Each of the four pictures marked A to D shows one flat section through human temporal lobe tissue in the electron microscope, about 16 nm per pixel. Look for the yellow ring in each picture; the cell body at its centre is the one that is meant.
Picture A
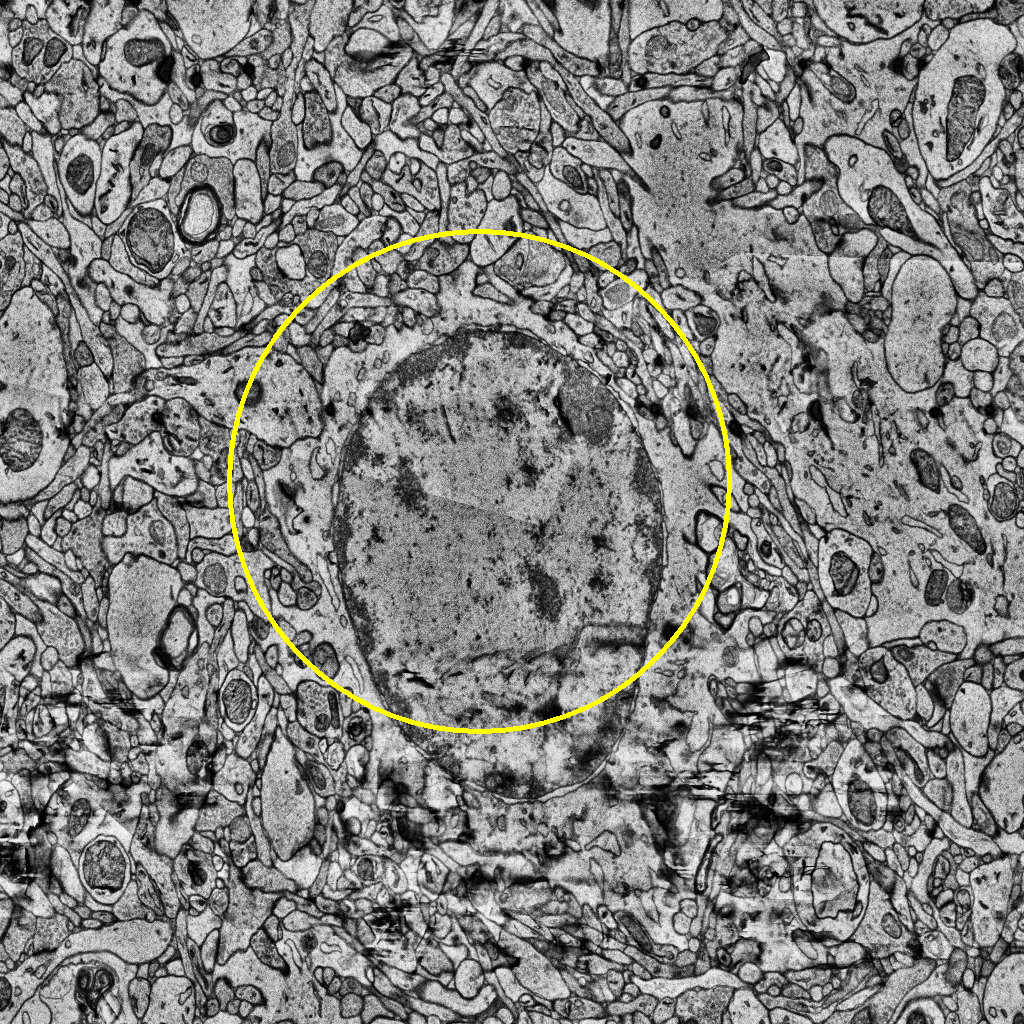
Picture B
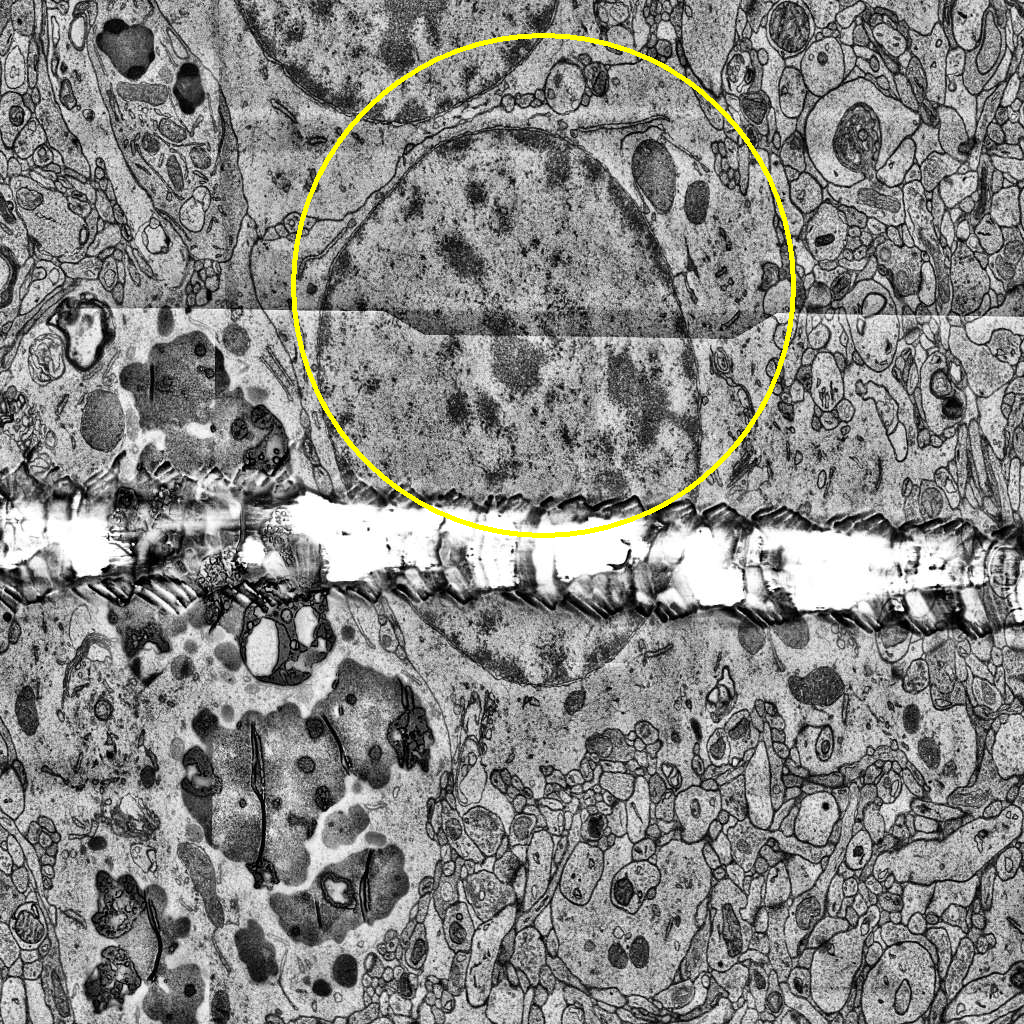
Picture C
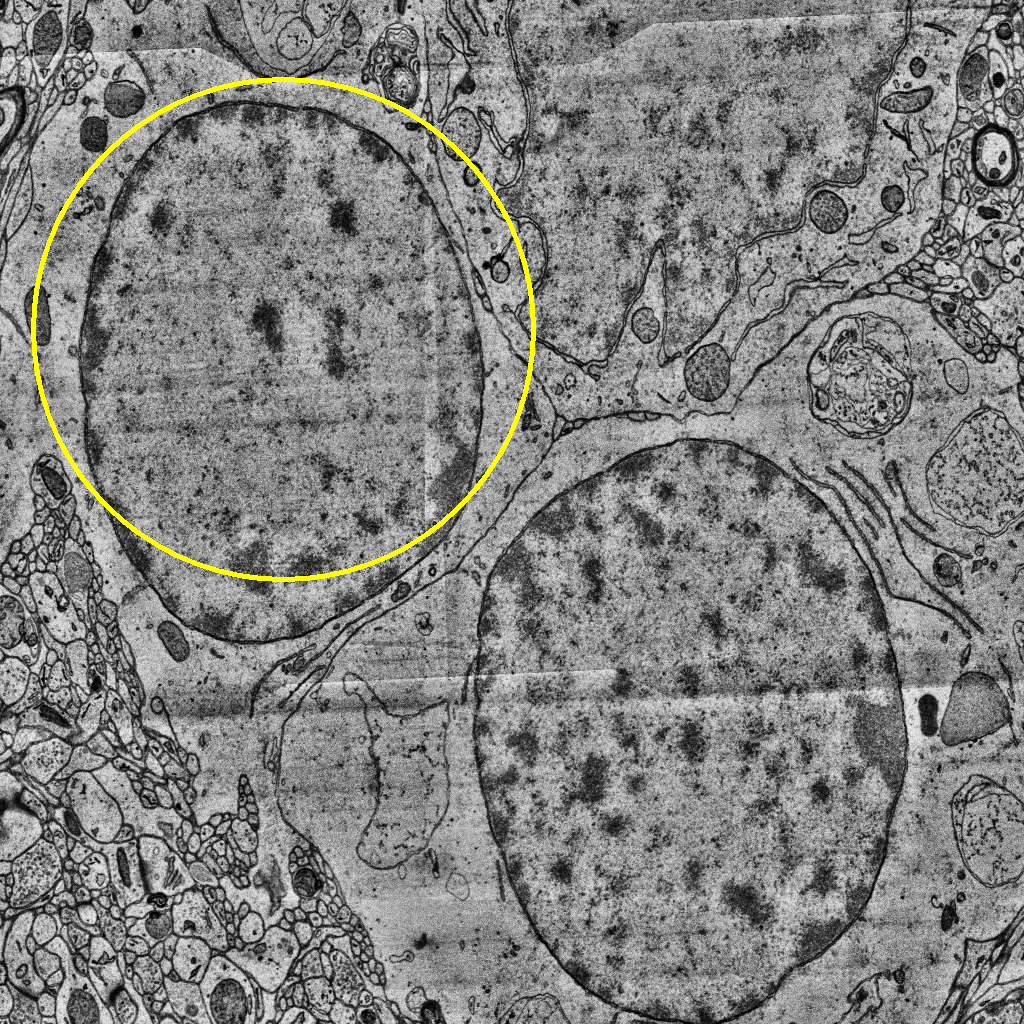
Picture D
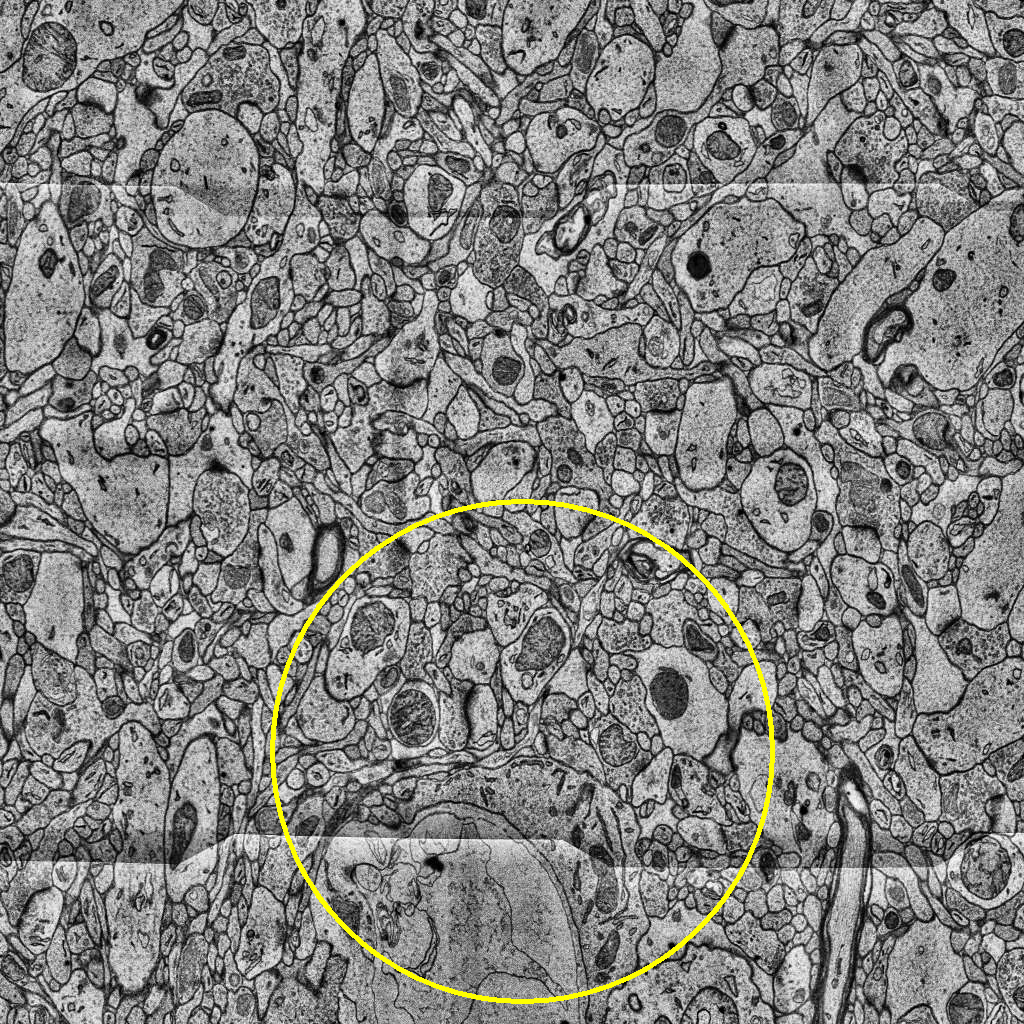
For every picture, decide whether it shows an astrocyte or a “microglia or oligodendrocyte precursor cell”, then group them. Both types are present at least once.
Pictures A, B and C show astrocytes; picture D shows a “microglia or oligodendrocyte precursor cell”.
